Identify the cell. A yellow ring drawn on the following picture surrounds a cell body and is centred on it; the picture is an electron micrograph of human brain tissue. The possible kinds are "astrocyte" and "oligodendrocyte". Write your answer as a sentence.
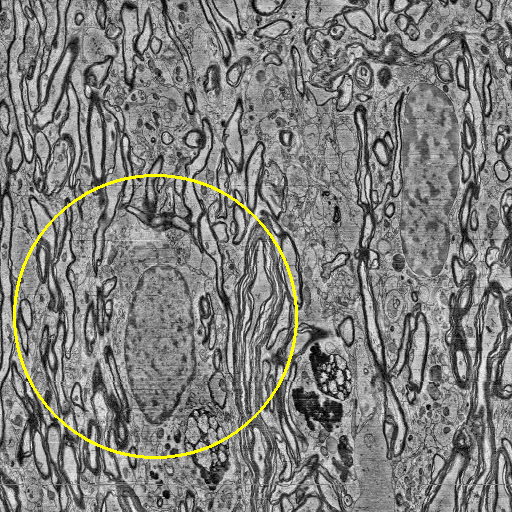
The cell identified by the ring is an astrocyte.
